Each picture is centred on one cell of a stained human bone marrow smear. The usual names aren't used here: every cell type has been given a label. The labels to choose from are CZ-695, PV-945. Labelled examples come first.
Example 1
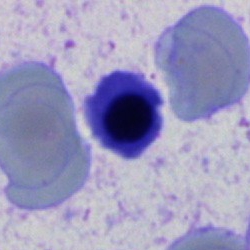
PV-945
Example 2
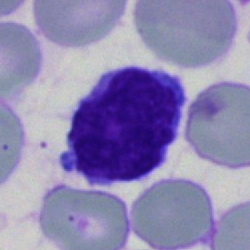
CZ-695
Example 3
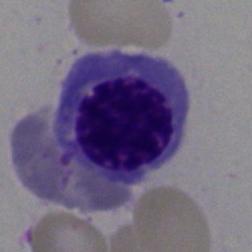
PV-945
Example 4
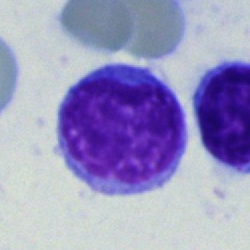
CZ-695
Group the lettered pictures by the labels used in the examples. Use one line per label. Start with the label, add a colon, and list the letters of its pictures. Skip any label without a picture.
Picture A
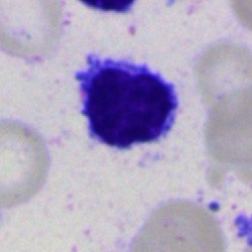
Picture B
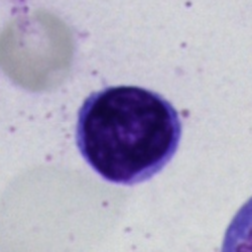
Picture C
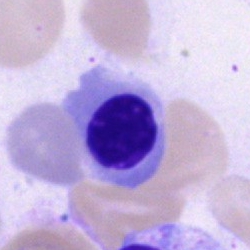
CZ-695: A, B
PV-945: C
